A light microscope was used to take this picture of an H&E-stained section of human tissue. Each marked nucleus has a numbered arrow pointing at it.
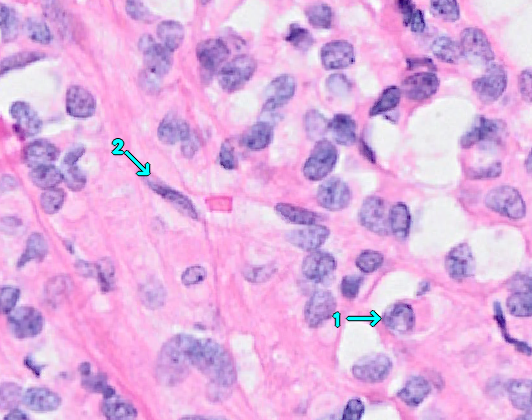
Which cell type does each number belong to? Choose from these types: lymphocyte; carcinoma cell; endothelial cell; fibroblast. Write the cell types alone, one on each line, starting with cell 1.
carcinoma cell
endothelial cell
